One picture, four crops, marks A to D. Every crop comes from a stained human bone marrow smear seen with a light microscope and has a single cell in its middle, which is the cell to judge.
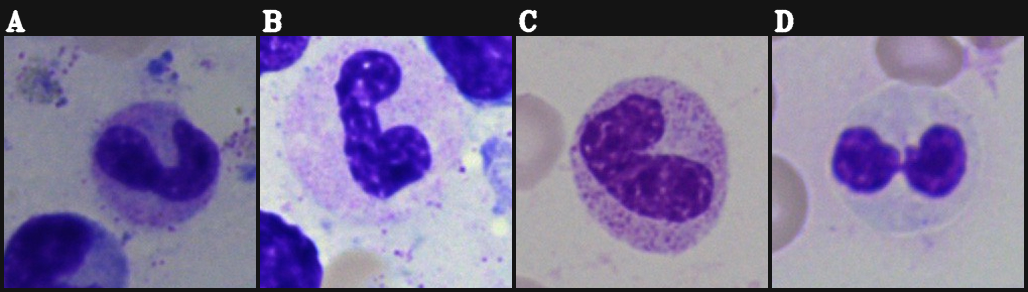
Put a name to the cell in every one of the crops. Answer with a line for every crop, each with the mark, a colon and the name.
A: segmented neutrophil
B: band neutrophil
C: band neutrophil
D: segmented neutrophil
